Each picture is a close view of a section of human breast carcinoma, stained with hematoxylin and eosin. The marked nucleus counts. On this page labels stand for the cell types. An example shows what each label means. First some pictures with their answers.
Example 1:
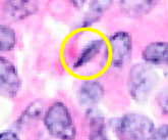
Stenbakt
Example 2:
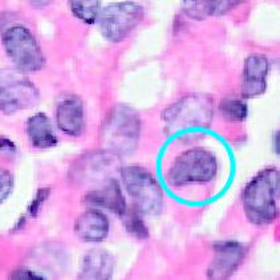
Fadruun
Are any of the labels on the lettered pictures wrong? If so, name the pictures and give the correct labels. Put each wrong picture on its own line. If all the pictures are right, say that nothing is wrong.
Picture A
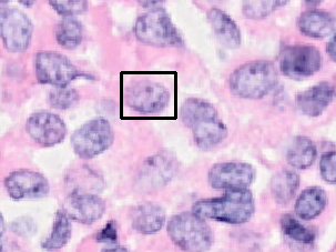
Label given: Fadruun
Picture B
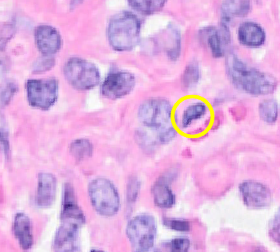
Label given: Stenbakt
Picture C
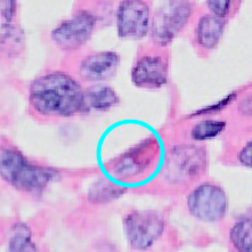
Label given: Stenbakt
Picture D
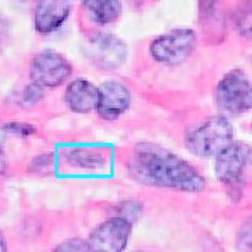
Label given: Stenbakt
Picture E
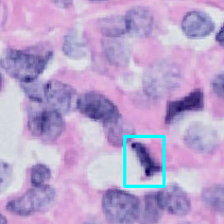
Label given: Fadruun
Nothing to fix; every label fits.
